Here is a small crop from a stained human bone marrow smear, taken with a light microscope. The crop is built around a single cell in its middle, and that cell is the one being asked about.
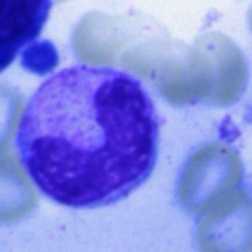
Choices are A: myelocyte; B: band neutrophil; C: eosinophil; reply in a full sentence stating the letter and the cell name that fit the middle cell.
Of the choices given, option B is right, as the central cell is a band neutrophil.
